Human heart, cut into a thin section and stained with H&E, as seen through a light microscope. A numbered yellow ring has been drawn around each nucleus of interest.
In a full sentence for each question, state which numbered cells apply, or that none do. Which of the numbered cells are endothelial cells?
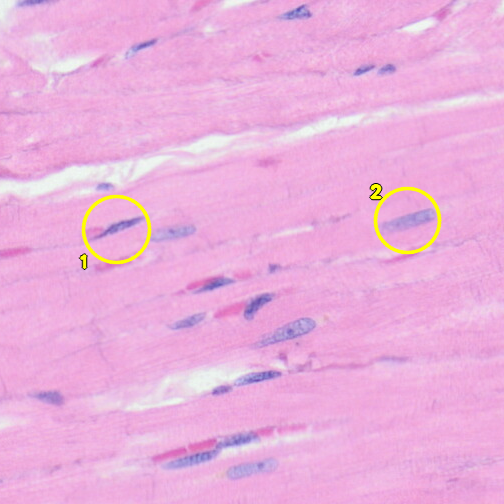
Of the cells marked with numbers, cell 1 is the only one that is an endothelial cell.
